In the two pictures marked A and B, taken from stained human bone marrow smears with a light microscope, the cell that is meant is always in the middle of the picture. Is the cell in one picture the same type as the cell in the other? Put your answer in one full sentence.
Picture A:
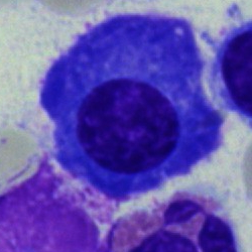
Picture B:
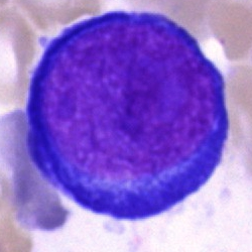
No, the types are not the same, since picture A shows a plasma cell and picture B a proerythroblast.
